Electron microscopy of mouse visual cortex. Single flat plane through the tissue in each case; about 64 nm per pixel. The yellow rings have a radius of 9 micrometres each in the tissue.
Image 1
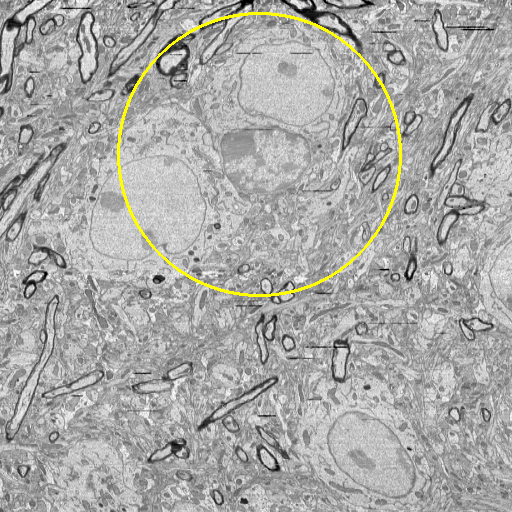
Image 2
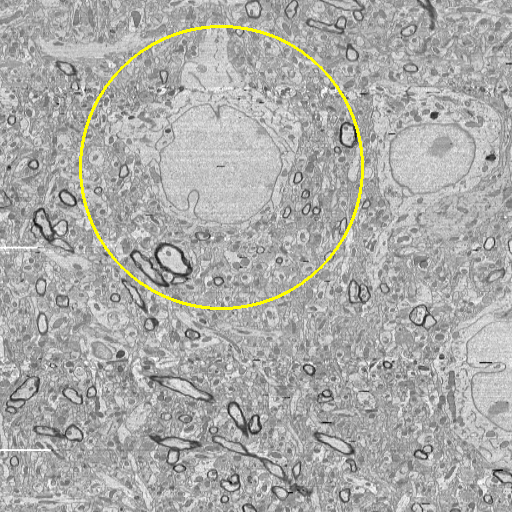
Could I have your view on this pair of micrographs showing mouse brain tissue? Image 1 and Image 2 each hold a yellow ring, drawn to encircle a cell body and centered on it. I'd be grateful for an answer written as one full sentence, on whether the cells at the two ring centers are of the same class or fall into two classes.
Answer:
The cells at the centers of the two rings fall into two classes.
